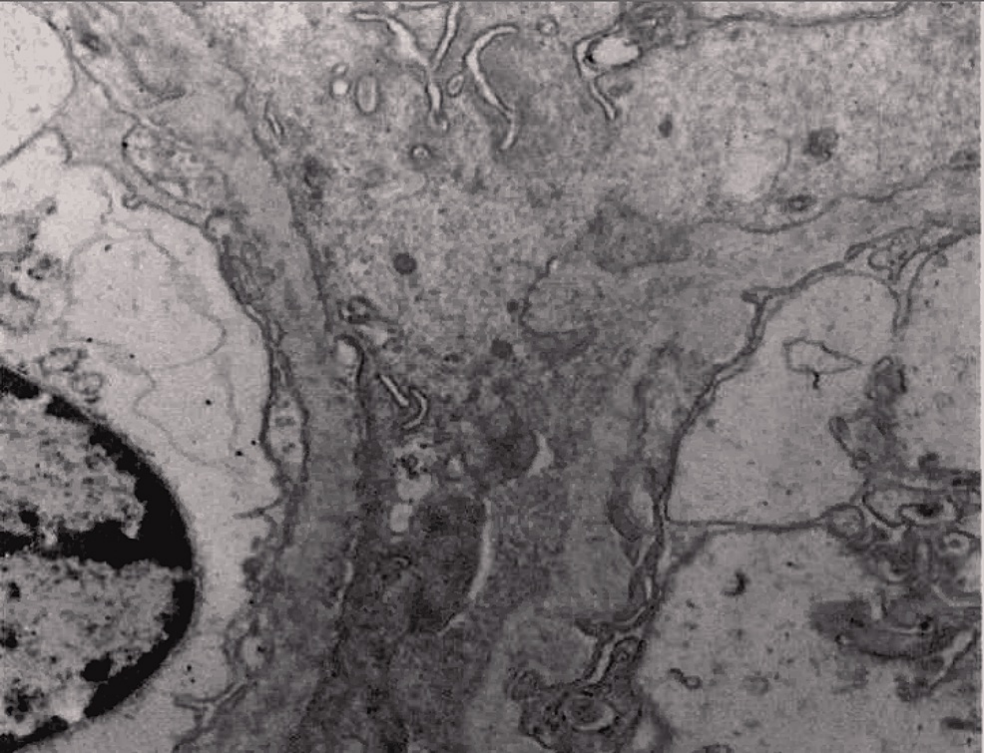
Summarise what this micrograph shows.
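A central band of finely granular, medium-grey material runs through the field and widens between the pale spaces on either side. Cell profiles lie along its edges and have thin, winding membrane outlines with small folds and loops. At the lower left is part of a nucleus with dense, dark chromatin along its rim and clumped inside. The cell outlines along the band run as long, flattened, continuous stretches rather than as separate small projections.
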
